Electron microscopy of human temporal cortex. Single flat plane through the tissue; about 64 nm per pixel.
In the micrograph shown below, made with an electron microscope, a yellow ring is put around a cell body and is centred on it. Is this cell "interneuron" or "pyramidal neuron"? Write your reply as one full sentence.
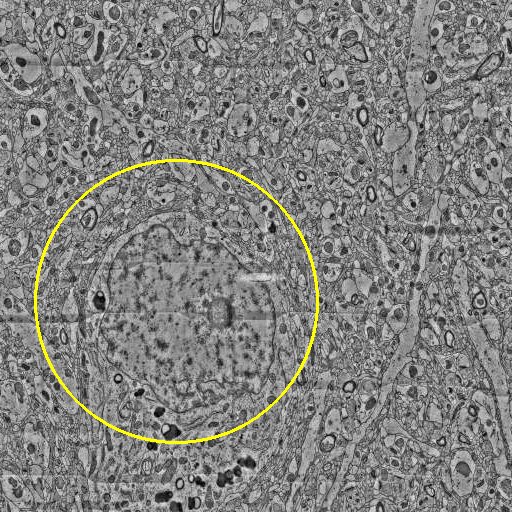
In the micrograph, an interneuron is the cell at the centre of the yellow ring.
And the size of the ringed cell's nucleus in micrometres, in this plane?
In this plane, roughly 13 by 10 micrometres.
